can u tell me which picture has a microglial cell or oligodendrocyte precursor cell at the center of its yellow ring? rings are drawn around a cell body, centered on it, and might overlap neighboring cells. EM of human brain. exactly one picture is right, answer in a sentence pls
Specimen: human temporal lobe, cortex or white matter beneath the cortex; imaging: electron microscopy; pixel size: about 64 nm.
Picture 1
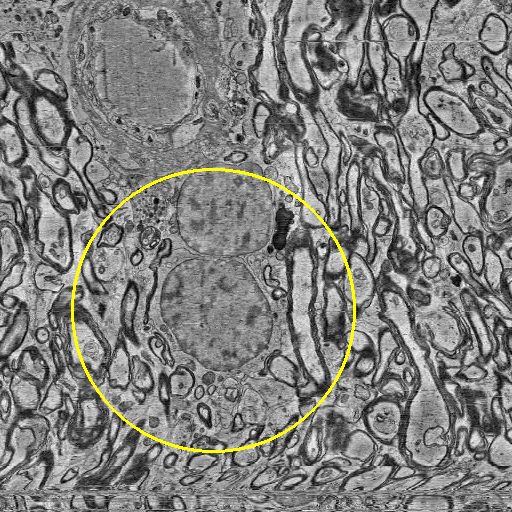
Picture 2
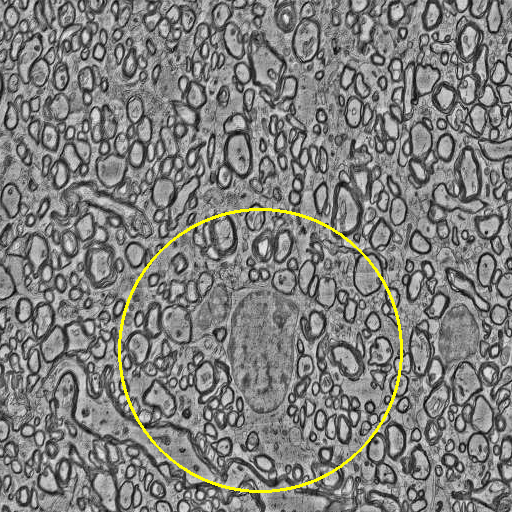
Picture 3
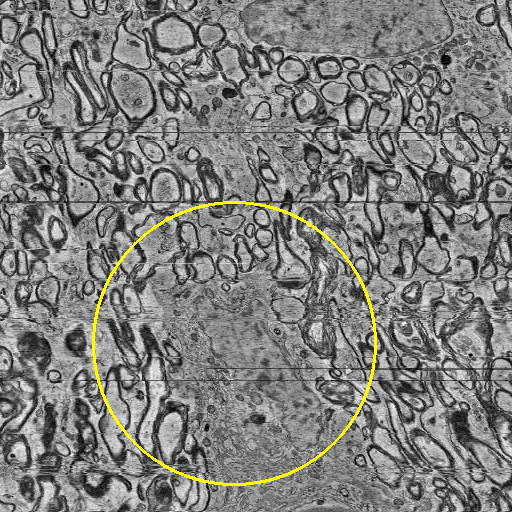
Picture 2 is the one.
